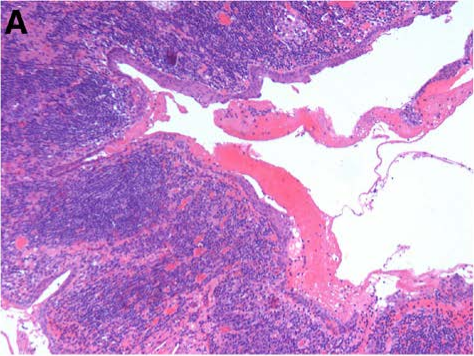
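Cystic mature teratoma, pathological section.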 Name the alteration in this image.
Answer: Lymphoid hyperplasia.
